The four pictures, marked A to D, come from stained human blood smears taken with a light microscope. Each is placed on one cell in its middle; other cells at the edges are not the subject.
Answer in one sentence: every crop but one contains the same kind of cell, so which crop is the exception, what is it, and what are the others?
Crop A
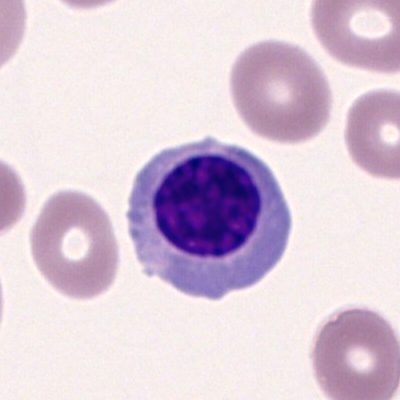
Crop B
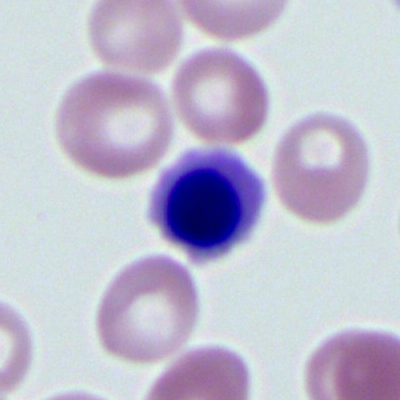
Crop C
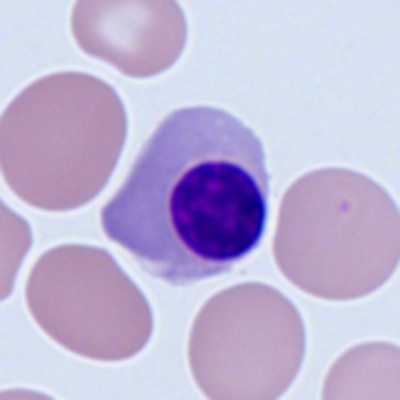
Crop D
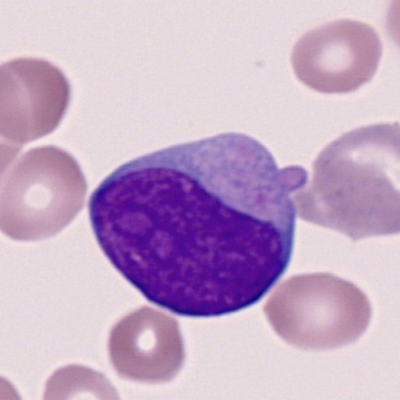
In every crop except crop D, which shows a myeloblast, erythroblasts are shown.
